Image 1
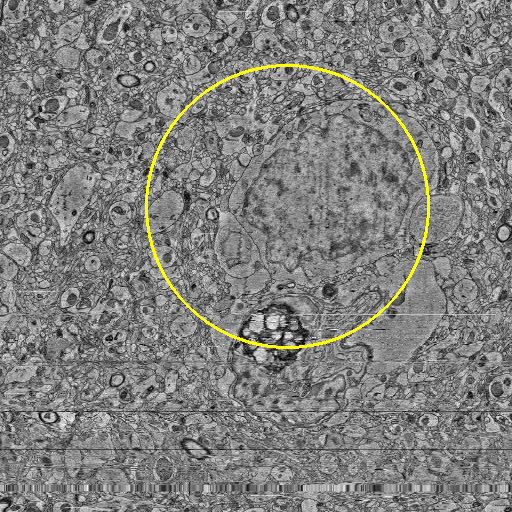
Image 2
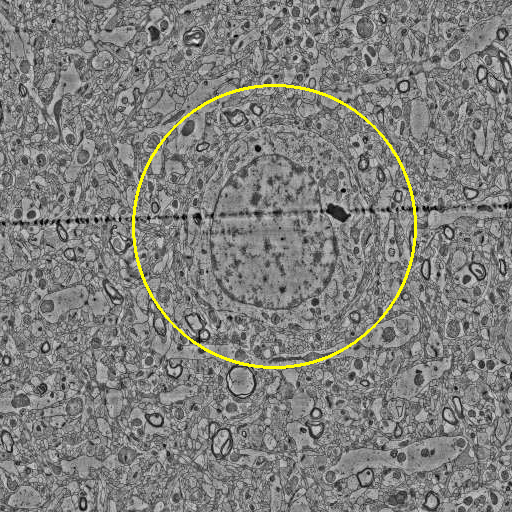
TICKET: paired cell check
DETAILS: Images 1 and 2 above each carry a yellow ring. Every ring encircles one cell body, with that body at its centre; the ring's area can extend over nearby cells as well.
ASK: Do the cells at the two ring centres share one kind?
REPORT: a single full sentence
Yes, the ring-centre cells of Images 1 and 2 belong to a single kind.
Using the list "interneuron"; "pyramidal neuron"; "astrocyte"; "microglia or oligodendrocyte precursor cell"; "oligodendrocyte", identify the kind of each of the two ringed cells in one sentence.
Each of the two cells is an interneuron.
